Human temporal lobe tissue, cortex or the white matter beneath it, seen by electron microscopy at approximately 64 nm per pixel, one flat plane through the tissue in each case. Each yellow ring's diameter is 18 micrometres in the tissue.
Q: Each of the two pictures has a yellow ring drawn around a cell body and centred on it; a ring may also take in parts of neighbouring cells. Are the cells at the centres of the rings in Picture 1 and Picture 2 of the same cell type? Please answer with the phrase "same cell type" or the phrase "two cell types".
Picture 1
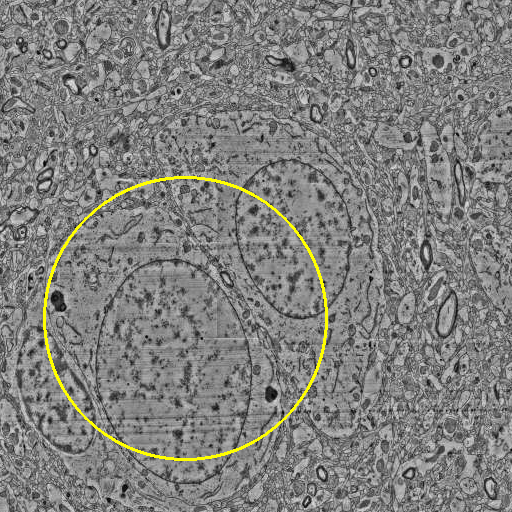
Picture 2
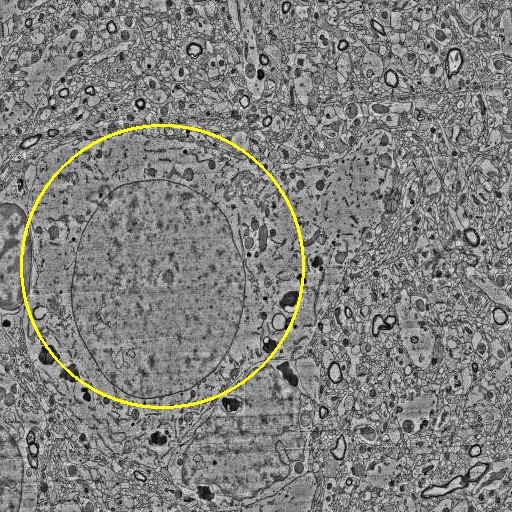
same cell type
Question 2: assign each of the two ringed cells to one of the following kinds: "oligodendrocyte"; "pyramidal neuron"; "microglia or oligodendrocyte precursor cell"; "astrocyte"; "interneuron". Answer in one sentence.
Both the first and the second picture show a pyramidal neuron in the ring.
